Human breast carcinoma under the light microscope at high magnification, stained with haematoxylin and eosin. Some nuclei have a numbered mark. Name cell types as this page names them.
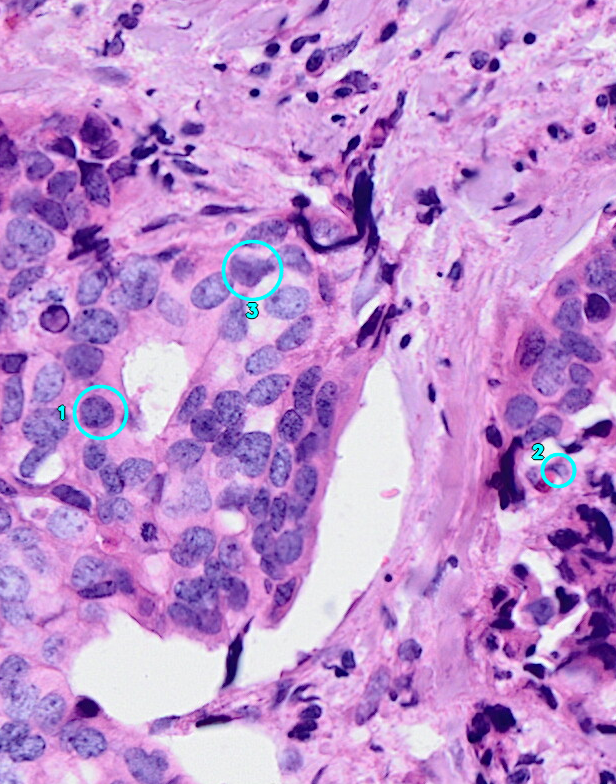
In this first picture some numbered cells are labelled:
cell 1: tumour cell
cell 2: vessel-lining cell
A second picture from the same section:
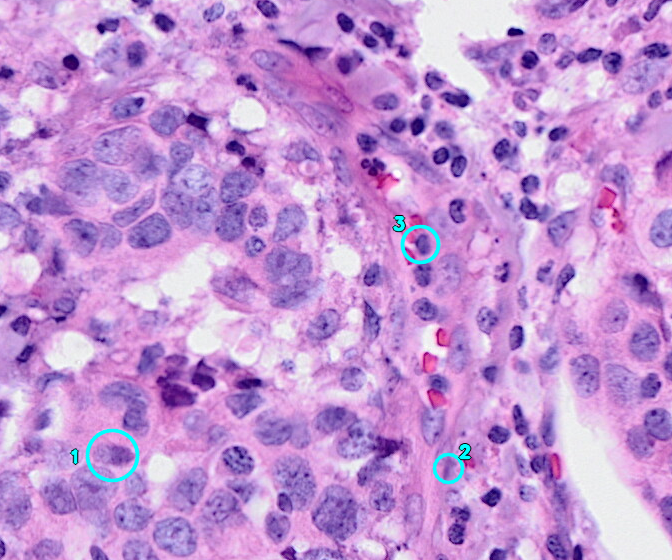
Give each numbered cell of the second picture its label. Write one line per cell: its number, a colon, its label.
1: tumour cell
2: vessel-lining cell
3: vessel-lining cell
